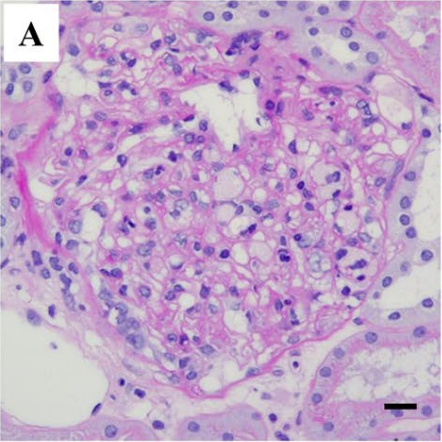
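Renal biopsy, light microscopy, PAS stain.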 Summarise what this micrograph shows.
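This is a glomerulus whose capillaries are filled by numerous foam cells. Thin magenta basement membranes outline the loops, and the Bowman capsule and surrounding tubules with round nuclei frame the tuft.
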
